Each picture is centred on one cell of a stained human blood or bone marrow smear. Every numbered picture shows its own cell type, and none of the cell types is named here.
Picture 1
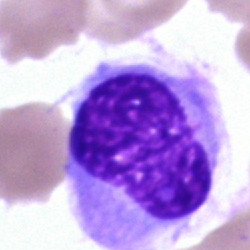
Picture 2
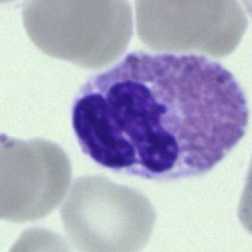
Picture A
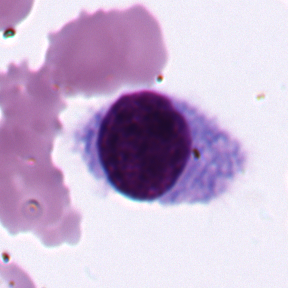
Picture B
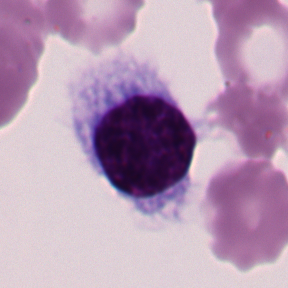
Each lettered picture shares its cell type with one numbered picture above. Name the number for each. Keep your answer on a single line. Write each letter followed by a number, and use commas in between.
A 1, B 1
